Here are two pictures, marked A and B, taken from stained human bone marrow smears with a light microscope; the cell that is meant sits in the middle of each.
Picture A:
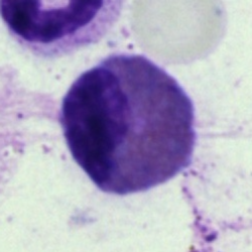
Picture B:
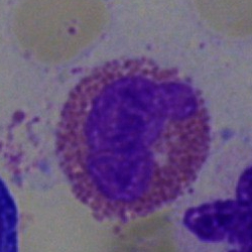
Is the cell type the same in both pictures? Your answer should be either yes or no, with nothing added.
yes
